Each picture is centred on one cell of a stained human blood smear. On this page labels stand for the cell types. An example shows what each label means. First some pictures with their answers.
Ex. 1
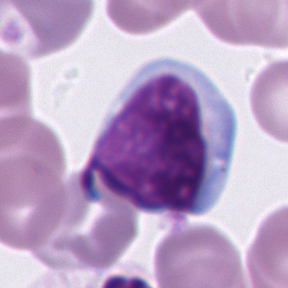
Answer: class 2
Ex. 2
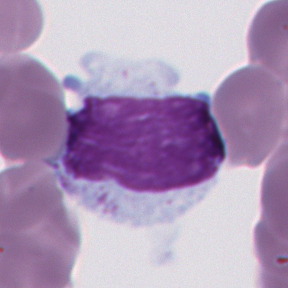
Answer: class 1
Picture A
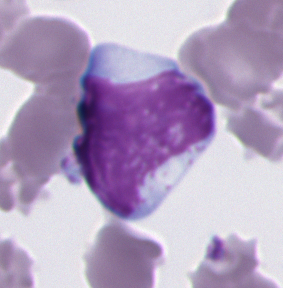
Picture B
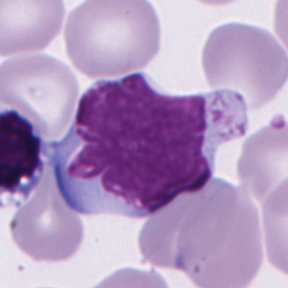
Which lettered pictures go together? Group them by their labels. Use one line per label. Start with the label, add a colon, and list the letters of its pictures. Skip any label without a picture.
class 1: A, B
